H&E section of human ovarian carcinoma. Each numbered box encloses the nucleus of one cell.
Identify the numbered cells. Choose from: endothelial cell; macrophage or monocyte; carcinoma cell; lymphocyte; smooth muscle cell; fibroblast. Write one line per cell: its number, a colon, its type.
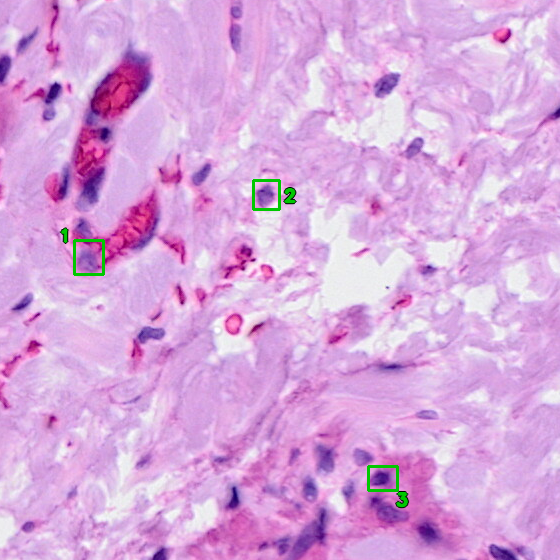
1: endothelial cell
2: macrophage or monocyte
3: smooth muscle cell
